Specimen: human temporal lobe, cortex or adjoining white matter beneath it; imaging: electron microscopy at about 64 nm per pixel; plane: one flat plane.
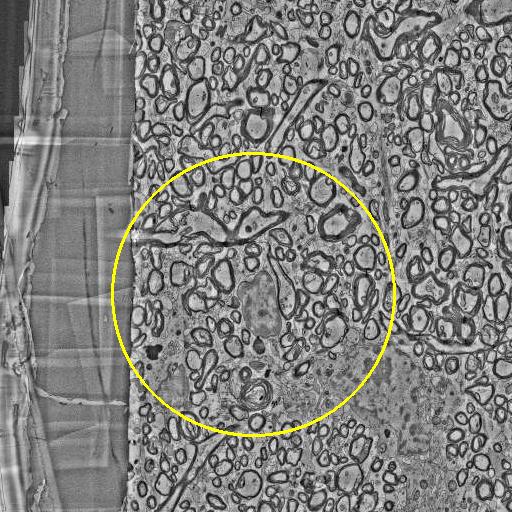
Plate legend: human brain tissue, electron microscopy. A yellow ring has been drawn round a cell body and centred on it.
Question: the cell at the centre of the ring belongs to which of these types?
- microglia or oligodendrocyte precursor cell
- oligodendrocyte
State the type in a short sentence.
The cell in the middle of the ring is a microglial cell or oligodendrocyte precursor cell.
